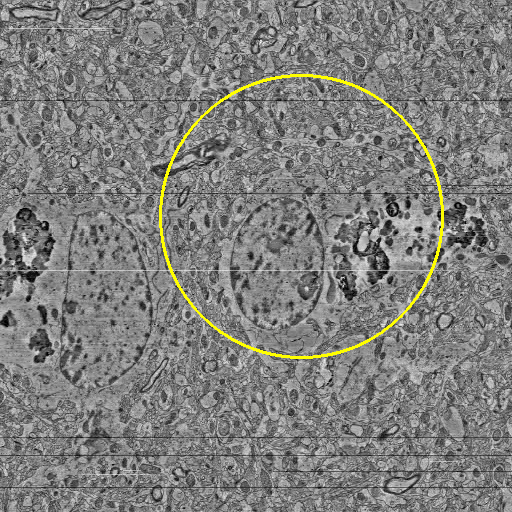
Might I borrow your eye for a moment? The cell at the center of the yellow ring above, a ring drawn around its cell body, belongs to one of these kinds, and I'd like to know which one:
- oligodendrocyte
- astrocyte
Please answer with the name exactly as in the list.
astrocyte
